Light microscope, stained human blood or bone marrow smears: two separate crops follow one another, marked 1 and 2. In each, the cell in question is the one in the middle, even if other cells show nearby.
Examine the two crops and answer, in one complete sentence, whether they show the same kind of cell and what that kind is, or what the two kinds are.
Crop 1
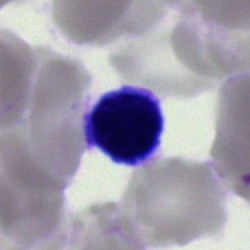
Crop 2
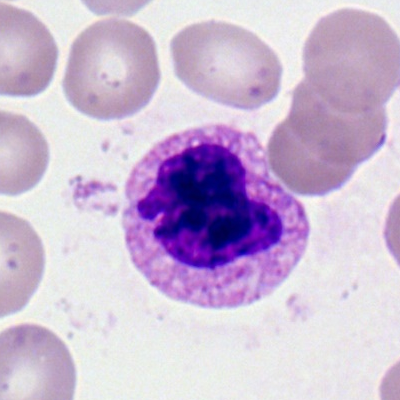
No, a basophil is depicted in crop 2, whereas a lymphocyte is depicted in crop 1.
